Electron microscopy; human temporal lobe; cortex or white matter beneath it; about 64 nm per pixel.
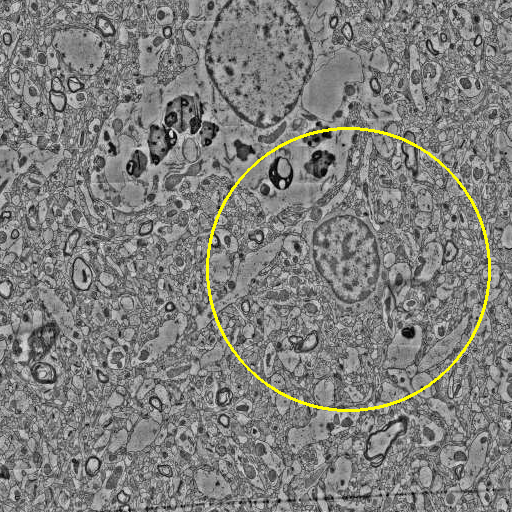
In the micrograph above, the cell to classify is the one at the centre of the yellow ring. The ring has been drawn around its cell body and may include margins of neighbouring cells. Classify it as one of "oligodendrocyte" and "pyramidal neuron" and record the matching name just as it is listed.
oligodendrocyte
